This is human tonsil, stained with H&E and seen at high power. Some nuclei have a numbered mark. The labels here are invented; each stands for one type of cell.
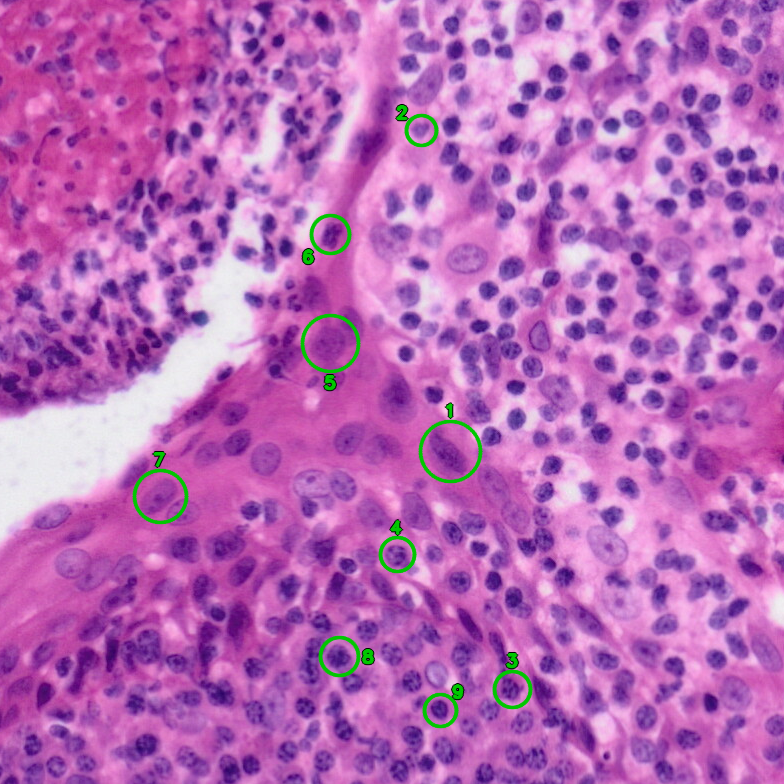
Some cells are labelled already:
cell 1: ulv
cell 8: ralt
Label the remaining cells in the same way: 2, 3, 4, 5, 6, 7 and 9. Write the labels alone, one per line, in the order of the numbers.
ulv
ralt
ralt
ulv
ulv
ulv
ralt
